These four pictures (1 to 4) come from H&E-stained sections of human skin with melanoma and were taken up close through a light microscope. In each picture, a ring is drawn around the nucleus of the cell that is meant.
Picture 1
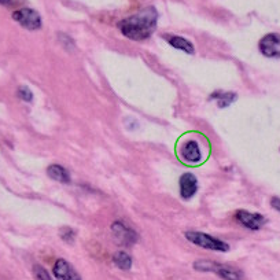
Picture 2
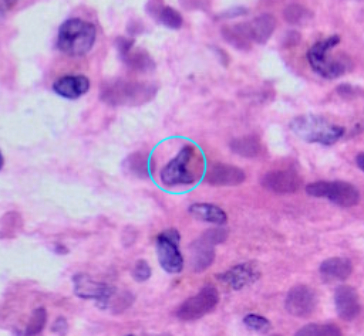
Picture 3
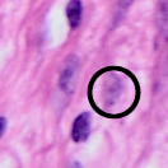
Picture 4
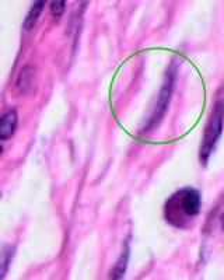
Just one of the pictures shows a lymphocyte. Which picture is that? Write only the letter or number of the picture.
1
